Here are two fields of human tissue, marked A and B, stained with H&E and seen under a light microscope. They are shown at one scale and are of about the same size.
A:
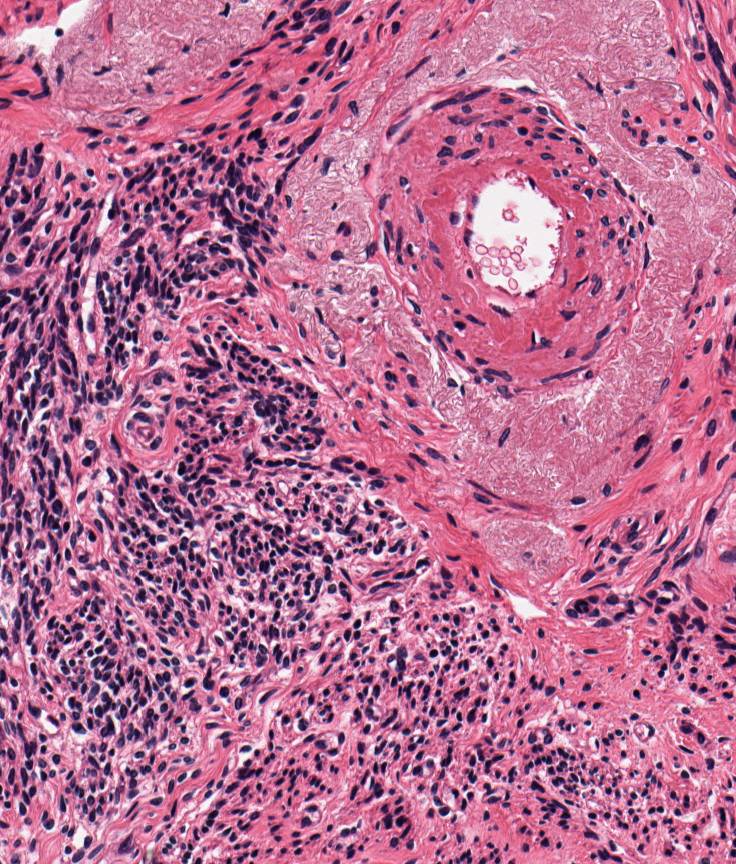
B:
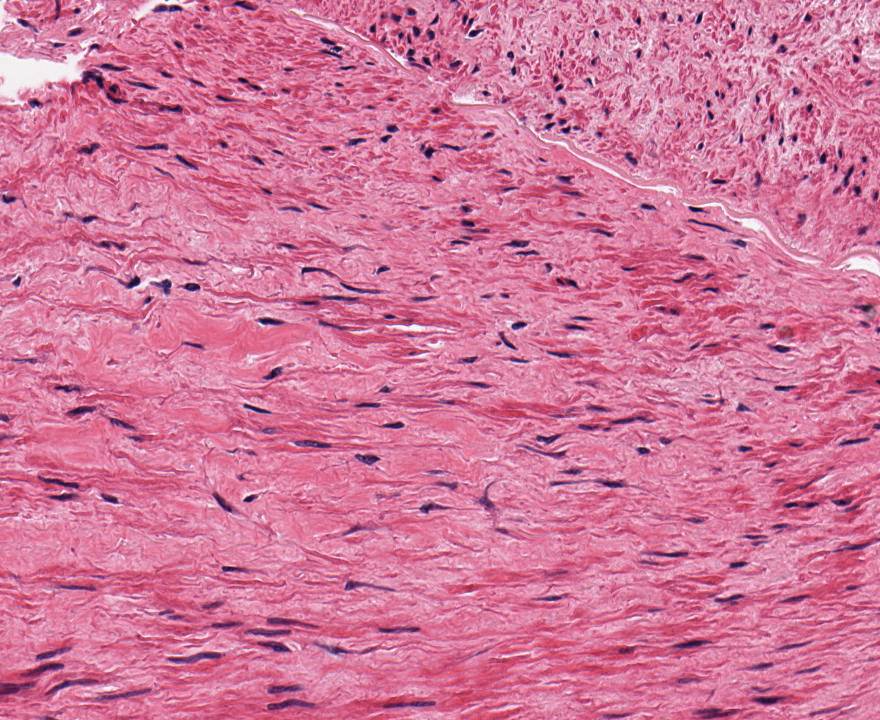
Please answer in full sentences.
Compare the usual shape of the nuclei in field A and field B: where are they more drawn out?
On the whole the nuclei of field B are more drawn out than those of field A.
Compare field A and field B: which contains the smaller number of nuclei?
Fewer nuclei lie in field B than in field A.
